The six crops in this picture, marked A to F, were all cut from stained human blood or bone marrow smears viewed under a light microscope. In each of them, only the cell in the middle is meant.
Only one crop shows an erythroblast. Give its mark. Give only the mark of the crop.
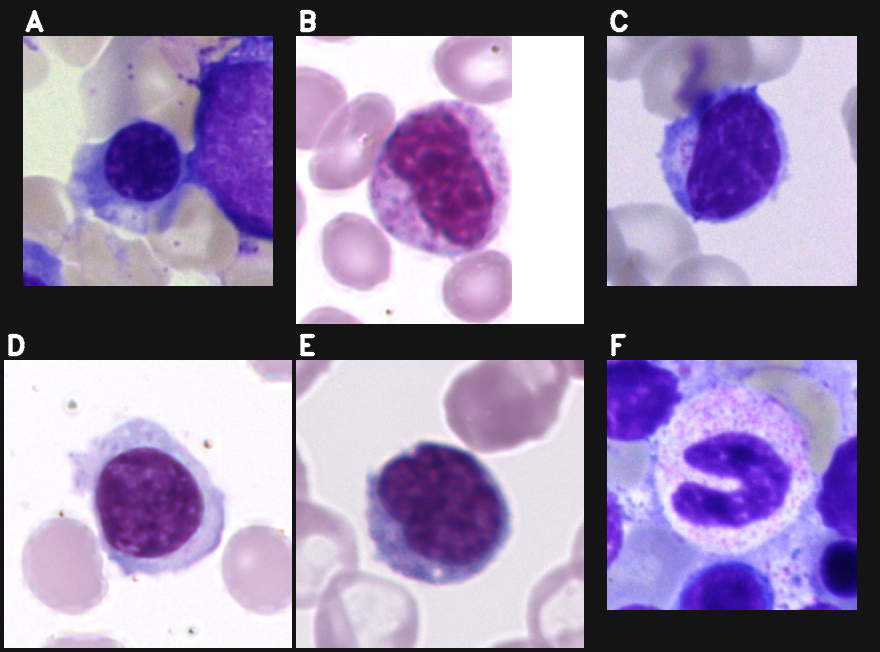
A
